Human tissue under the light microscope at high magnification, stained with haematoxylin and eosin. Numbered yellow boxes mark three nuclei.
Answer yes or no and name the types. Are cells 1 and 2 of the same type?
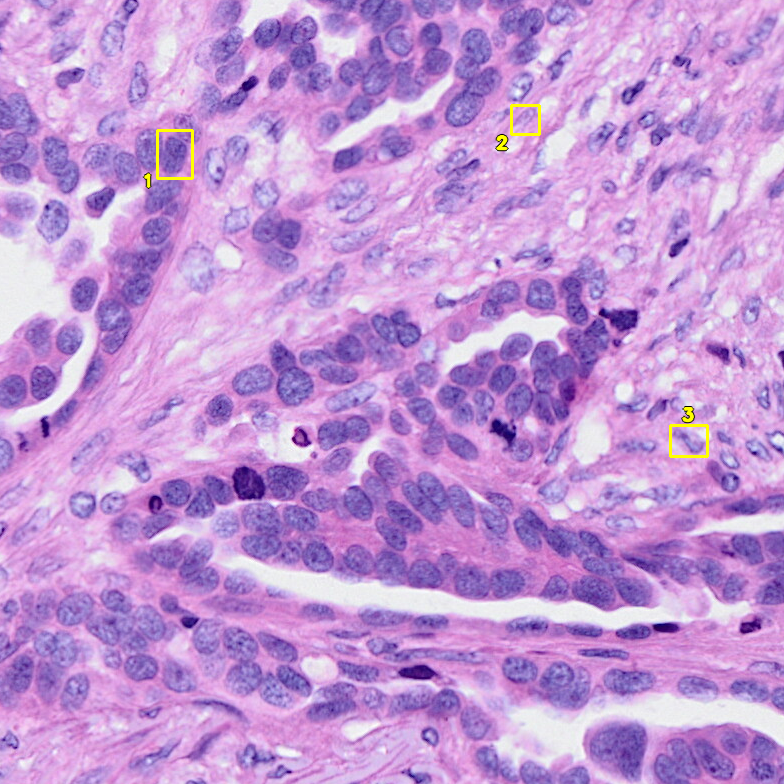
No, that's wrong; cell 1 is a carcinoma cell and cell 2 is a fibroblast.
